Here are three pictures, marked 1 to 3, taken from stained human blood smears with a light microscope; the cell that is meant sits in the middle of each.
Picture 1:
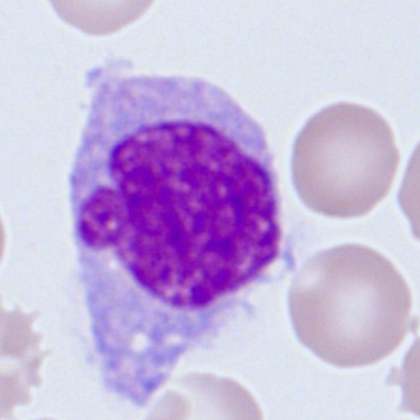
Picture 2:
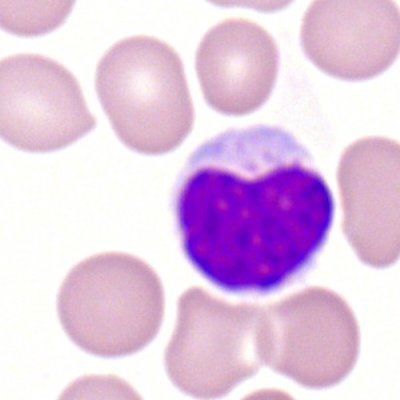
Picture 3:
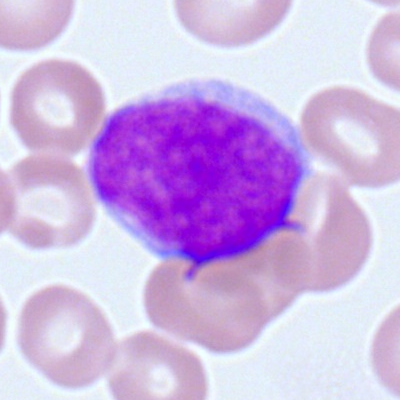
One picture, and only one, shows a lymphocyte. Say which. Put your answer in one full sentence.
Picture 2 is the one that shows the lymphocyte.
